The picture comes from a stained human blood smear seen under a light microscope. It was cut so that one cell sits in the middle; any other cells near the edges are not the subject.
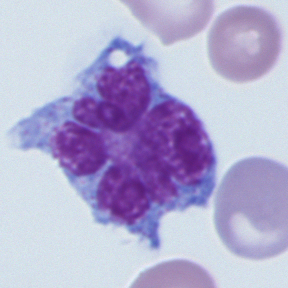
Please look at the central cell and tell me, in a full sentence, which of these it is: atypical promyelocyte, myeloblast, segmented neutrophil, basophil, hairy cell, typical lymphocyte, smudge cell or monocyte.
The cell of interest, in the center, is a monocyte.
